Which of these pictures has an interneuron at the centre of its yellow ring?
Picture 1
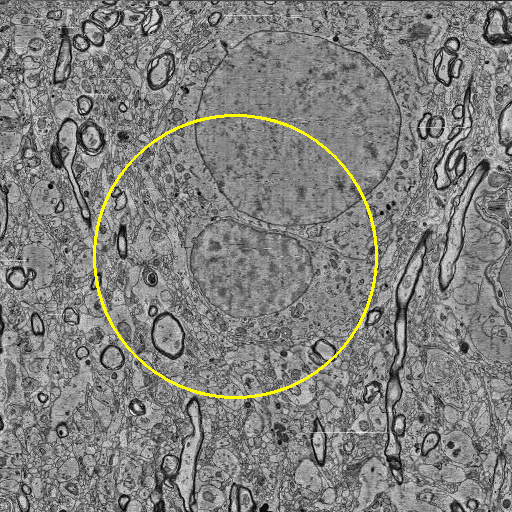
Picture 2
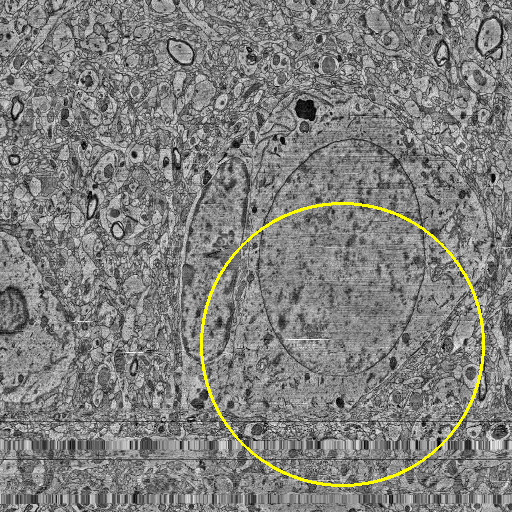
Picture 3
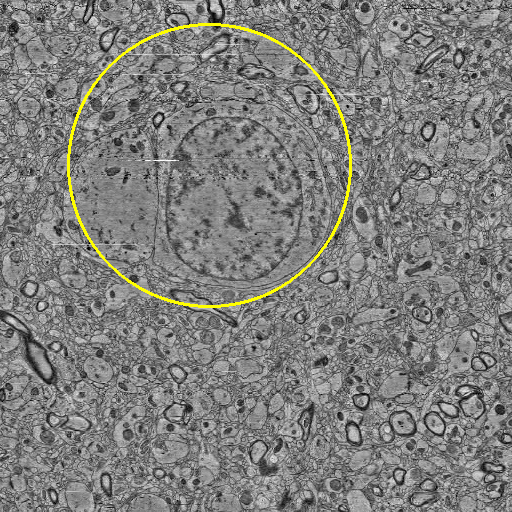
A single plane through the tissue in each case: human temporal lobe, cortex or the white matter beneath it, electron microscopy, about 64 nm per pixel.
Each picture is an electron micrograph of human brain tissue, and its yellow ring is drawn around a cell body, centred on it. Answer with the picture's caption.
Picture 3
